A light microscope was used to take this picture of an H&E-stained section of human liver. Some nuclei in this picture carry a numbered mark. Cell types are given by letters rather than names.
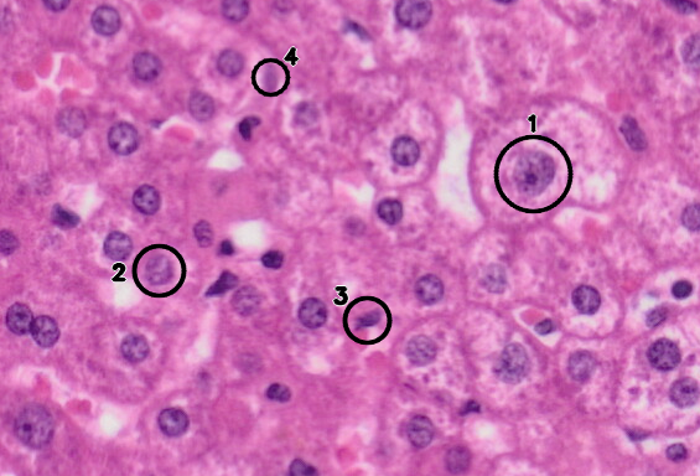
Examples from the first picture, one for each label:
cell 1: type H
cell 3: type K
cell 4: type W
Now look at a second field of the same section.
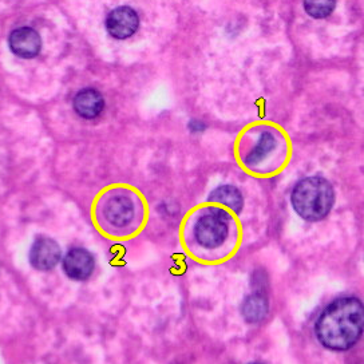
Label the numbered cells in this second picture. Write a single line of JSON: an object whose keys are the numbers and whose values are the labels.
{"1": "type K", "2": "type H", "3": "type H"}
